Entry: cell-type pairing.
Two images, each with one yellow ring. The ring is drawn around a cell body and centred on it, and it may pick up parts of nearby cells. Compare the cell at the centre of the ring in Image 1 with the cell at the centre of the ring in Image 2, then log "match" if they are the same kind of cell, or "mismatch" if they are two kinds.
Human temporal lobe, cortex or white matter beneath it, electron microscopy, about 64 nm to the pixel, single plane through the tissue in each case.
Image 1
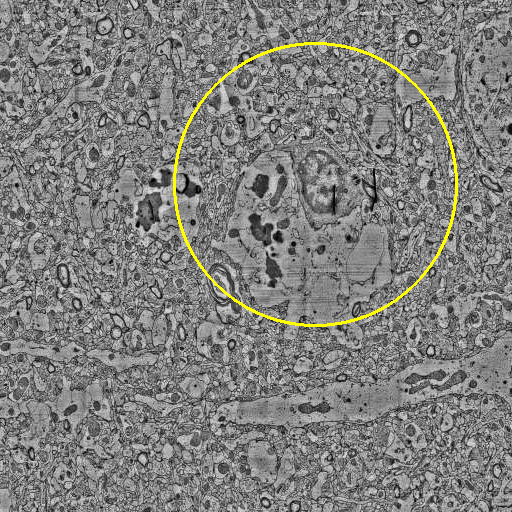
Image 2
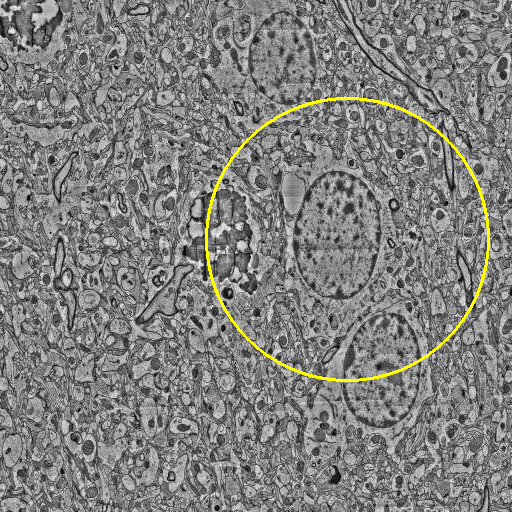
mismatch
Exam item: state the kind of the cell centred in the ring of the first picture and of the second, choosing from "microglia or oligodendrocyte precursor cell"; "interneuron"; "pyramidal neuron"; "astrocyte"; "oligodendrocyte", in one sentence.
The first picture shows an oligodendrocyte at the ring centre and the second shows an astrocyte.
